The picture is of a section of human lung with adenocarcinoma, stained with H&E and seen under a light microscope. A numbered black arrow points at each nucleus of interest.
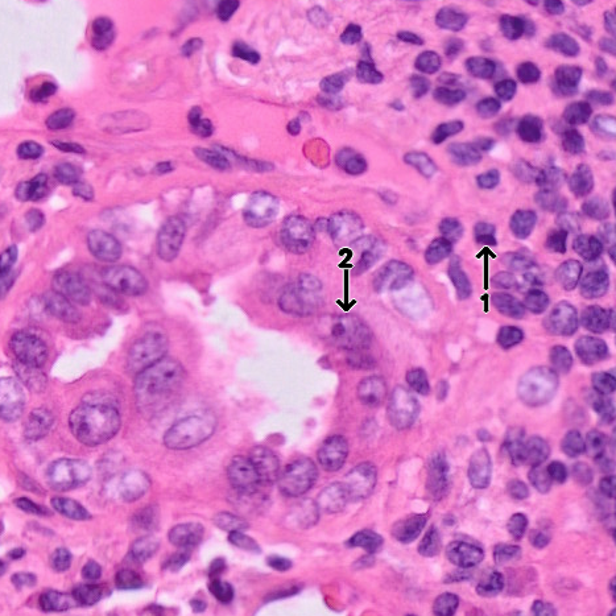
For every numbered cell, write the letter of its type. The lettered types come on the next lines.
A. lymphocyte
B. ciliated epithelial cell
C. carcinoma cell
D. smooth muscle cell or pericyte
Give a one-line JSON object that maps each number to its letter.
{"1": "A", "2": "C"}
